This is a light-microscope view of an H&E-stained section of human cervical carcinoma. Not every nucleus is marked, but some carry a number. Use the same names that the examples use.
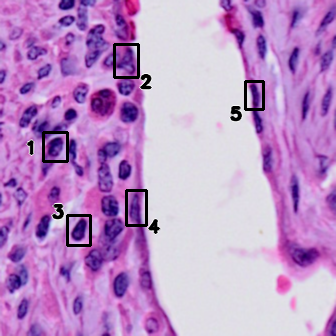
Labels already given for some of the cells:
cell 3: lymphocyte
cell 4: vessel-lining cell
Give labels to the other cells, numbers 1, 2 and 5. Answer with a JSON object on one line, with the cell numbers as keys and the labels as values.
{"1": "lymphocyte", "2": "vessel-lining cell", "5": "vessel-lining cell"}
